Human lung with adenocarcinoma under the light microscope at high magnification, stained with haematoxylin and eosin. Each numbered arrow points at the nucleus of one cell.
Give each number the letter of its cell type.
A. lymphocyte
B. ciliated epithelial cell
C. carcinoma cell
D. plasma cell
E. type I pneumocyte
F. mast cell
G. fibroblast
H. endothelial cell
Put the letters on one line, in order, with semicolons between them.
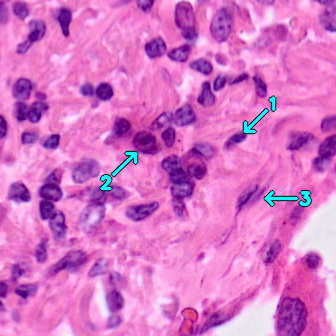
A; D; G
